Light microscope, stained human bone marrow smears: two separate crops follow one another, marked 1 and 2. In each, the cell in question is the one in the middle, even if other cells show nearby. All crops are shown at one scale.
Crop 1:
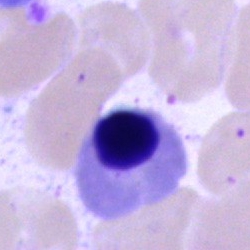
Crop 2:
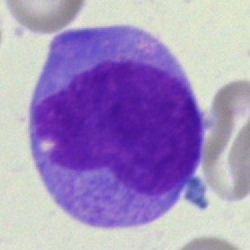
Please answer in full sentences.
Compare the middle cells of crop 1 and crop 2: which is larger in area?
Crop 2 holds the larger cell; it covers about 3 times the area of the cell in crop 1.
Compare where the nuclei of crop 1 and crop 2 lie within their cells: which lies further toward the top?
The nucleus in crop 1 lies further toward the top of its cell.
